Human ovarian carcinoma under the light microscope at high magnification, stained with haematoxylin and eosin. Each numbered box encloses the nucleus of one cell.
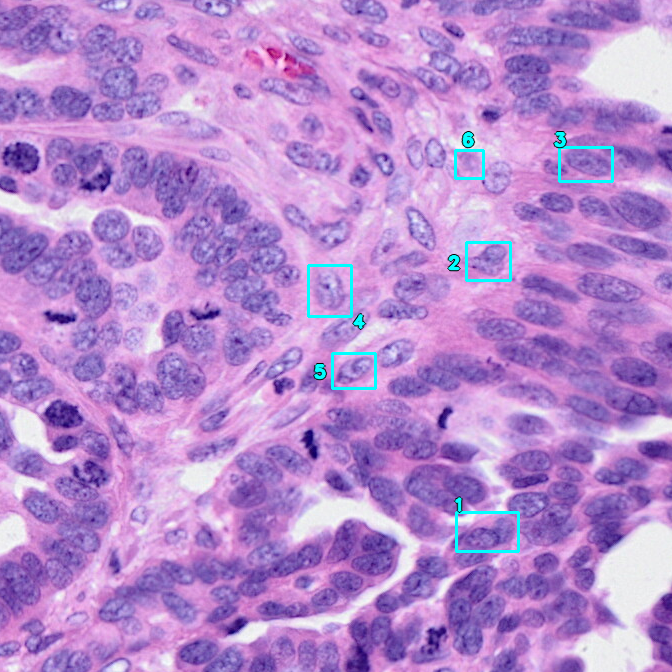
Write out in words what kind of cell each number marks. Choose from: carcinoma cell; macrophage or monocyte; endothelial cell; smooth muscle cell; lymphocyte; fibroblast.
Cells 1 and 3 are carcinoma cells. Cells 2, 4, 5 and 6 are fibroblasts.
